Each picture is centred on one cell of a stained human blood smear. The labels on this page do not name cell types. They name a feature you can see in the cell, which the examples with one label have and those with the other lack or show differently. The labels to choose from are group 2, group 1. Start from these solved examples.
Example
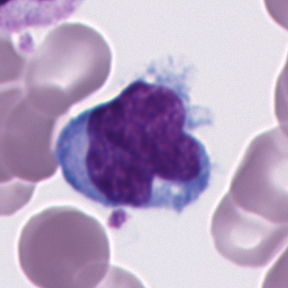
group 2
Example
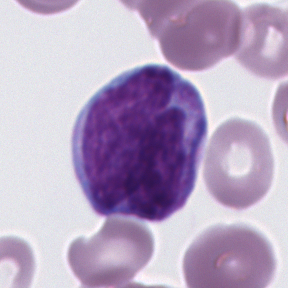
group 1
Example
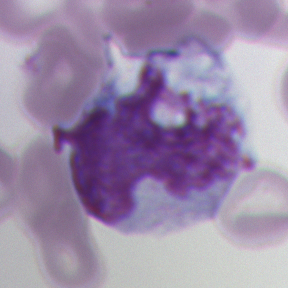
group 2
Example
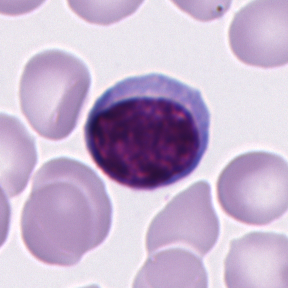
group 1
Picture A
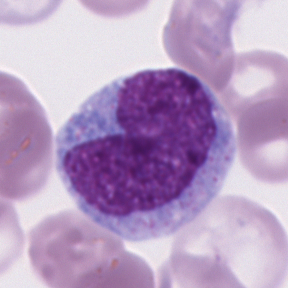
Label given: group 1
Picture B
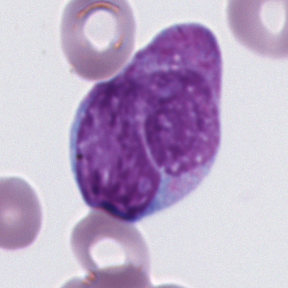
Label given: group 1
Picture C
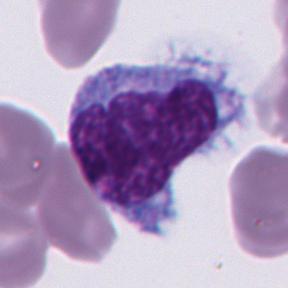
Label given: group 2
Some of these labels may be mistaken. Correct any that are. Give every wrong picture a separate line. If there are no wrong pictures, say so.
Every label is right.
